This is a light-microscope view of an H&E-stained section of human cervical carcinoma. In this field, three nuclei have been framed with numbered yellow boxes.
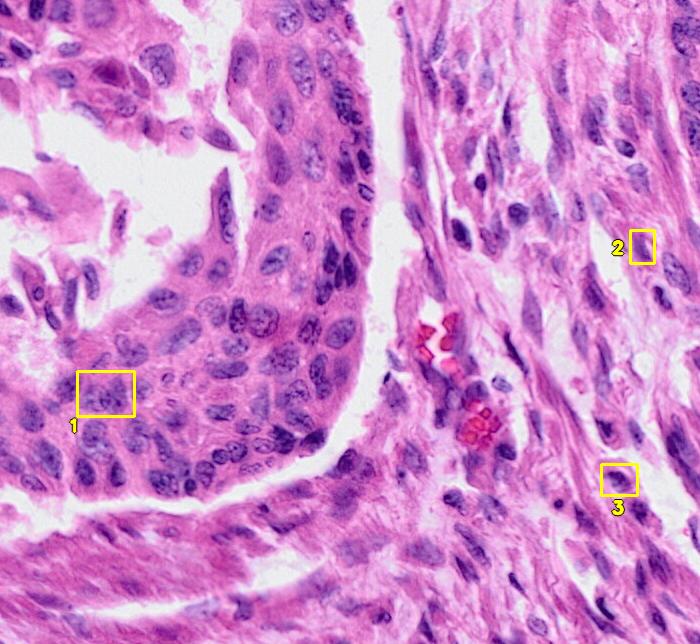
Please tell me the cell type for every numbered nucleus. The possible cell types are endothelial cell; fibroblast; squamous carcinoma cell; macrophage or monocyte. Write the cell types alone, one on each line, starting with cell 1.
squamous carcinoma cell
fibroblast
macrophage or monocyte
